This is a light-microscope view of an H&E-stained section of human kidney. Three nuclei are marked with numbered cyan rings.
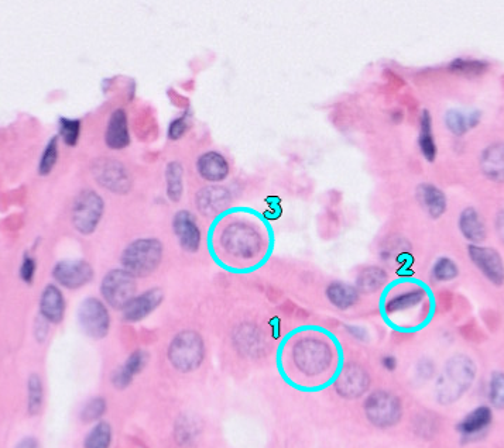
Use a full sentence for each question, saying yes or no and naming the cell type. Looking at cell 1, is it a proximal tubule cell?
Yes, the cell with its nucleus marked 1 is a proximal tubule cell.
